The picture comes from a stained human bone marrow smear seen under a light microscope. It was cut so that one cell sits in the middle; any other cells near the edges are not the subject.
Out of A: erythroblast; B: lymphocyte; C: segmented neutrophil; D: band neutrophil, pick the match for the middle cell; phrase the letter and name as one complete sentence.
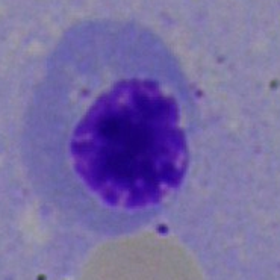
As the central cell is an erythroblast, option A is correct.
